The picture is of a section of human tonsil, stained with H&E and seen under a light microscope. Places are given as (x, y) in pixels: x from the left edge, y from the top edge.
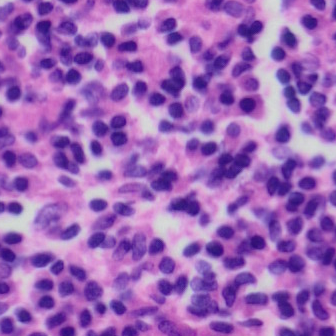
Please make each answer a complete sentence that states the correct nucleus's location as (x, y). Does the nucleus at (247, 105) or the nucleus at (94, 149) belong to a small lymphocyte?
The nucleus whose cell is a small lymphocyte is the one at (94, 149).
